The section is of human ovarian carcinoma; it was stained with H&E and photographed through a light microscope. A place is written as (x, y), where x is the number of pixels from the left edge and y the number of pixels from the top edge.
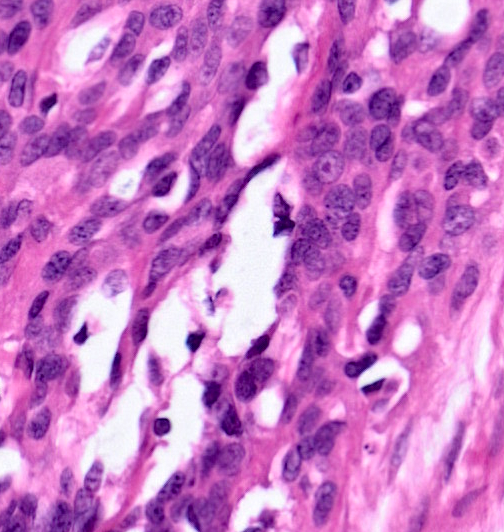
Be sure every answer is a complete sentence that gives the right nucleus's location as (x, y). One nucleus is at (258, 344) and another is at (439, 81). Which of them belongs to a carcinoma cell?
Of the two nuclei, the one at (258, 344) belongs to a carcinoma cell.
